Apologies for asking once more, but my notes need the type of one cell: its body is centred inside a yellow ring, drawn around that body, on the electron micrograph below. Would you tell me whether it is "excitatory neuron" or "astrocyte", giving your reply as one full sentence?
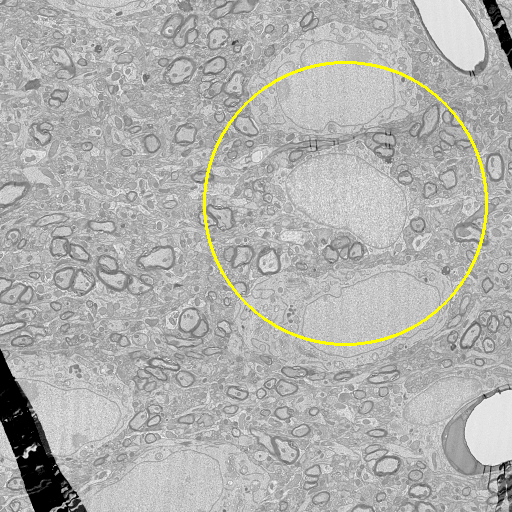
The cell that the yellow ring is centred on is an astrocyte in this micrograph.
